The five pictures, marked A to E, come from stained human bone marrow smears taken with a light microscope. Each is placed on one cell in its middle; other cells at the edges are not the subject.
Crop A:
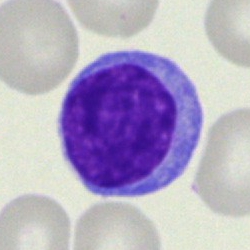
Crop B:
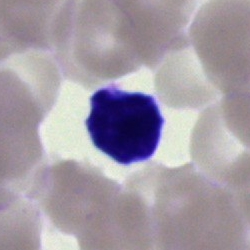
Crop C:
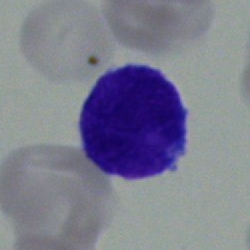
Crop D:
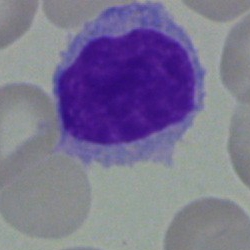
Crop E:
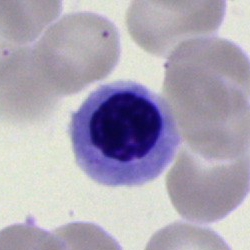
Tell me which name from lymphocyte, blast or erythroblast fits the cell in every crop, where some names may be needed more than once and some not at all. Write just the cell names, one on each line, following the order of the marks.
lymphocyte
lymphocyte
blast
lymphocyte
erythroblast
